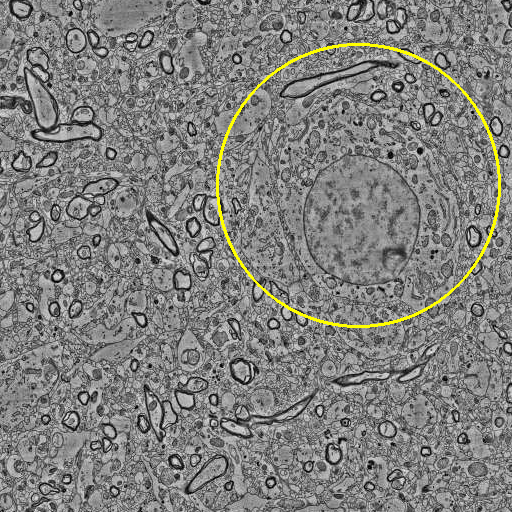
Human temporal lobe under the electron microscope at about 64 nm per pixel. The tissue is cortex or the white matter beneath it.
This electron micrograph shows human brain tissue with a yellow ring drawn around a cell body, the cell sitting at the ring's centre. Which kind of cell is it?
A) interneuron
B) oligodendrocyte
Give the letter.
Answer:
A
